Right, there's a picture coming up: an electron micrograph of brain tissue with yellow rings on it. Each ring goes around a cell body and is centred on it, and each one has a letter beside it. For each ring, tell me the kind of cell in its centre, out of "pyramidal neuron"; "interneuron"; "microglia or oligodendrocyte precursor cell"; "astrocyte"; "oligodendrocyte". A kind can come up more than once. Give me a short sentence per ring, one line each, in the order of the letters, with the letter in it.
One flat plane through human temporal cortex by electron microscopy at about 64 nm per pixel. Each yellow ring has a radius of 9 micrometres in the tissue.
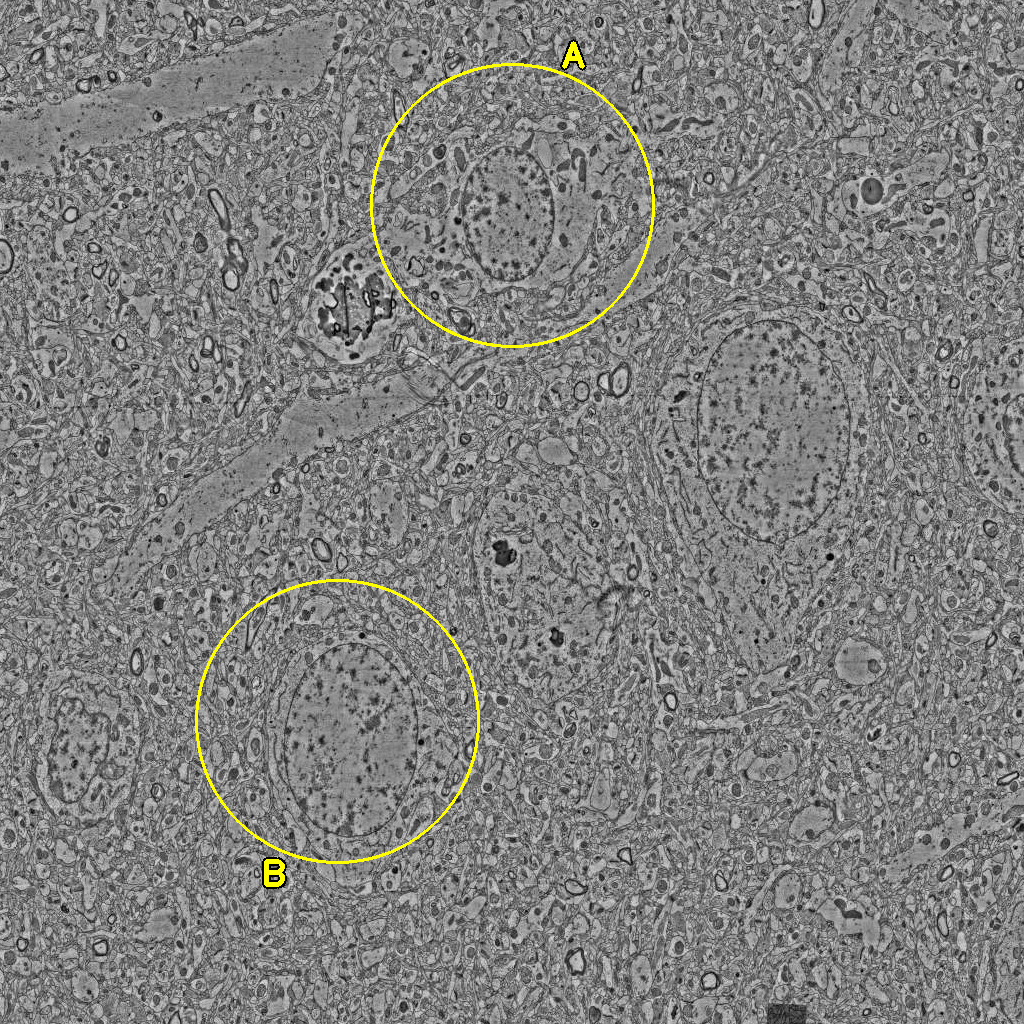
That's an astrocyte in ring A.
That's a pyramidal neuron in ring B.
